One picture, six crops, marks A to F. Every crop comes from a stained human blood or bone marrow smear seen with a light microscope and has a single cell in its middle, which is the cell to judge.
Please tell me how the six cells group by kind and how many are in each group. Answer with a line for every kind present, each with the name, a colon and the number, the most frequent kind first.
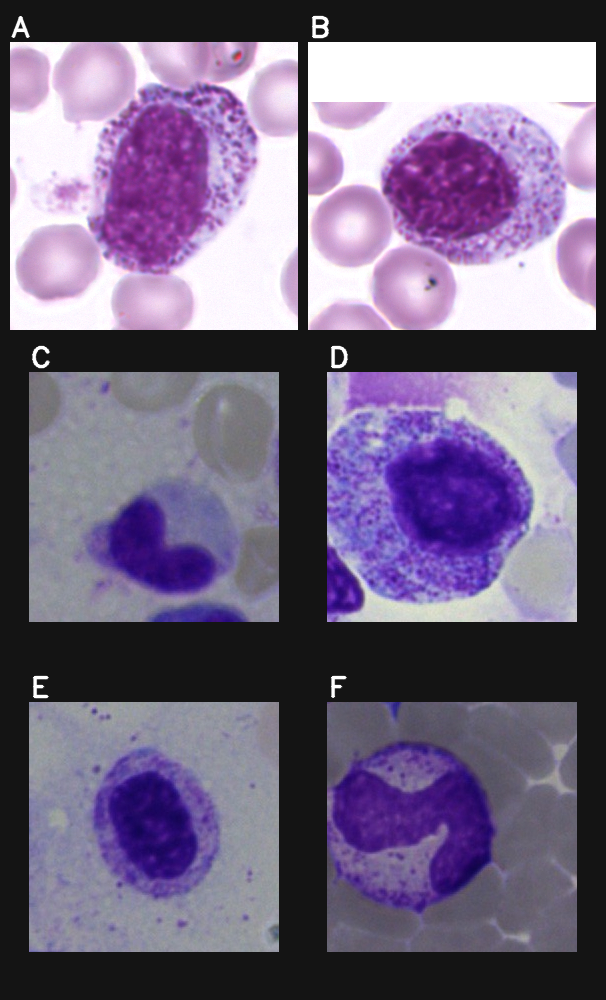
myelocyte: 4
band neutrophil: 2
